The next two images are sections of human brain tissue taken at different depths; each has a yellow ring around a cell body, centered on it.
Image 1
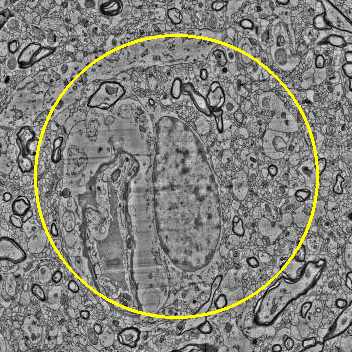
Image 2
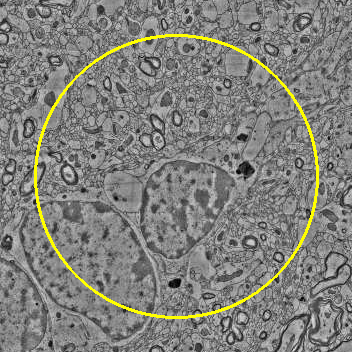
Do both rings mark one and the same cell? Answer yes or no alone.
no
